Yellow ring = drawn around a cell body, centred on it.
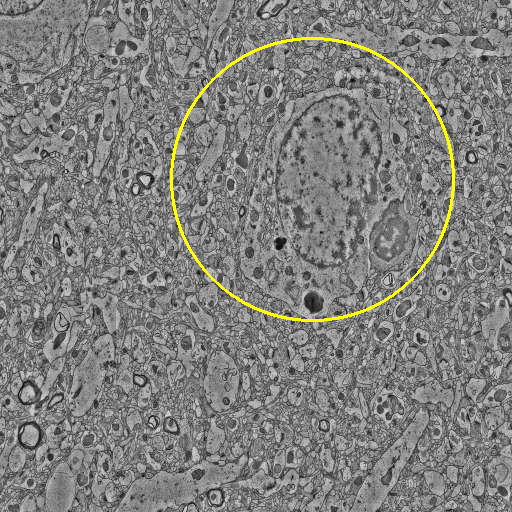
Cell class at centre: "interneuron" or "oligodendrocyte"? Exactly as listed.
interneuron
